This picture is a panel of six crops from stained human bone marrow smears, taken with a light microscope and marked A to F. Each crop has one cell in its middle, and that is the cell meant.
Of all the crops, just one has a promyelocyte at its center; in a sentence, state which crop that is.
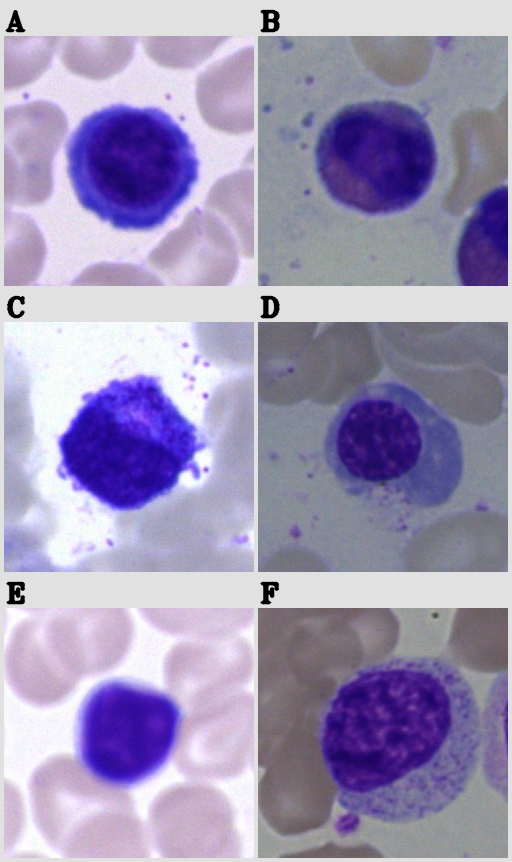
The crop carrying a promyelocyte at the center is crop C.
